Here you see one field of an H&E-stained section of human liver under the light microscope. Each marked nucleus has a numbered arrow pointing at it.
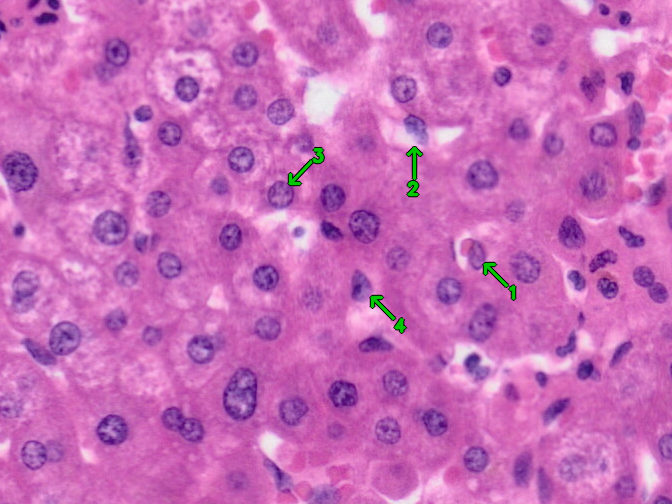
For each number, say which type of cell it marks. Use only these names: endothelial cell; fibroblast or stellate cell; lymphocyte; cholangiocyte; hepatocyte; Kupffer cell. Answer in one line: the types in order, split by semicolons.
Kupffer cell; endothelial cell; hepatocyte; endothelial cell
